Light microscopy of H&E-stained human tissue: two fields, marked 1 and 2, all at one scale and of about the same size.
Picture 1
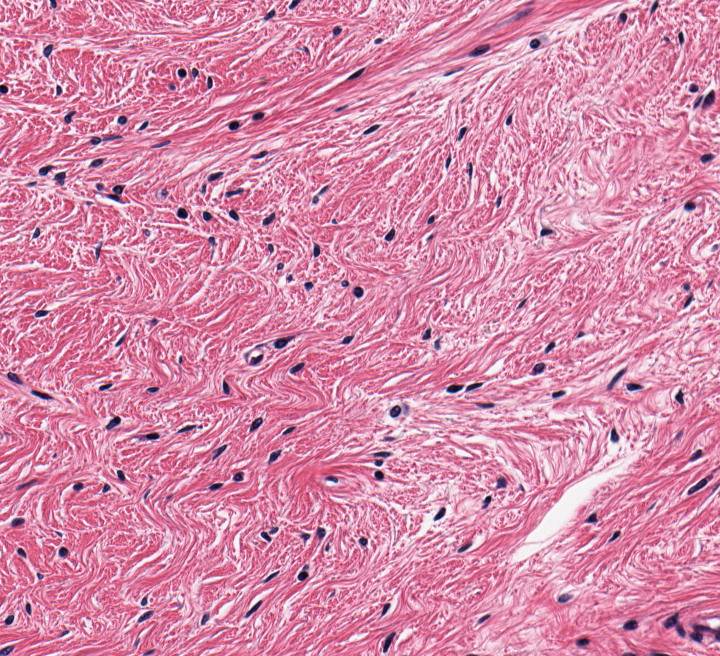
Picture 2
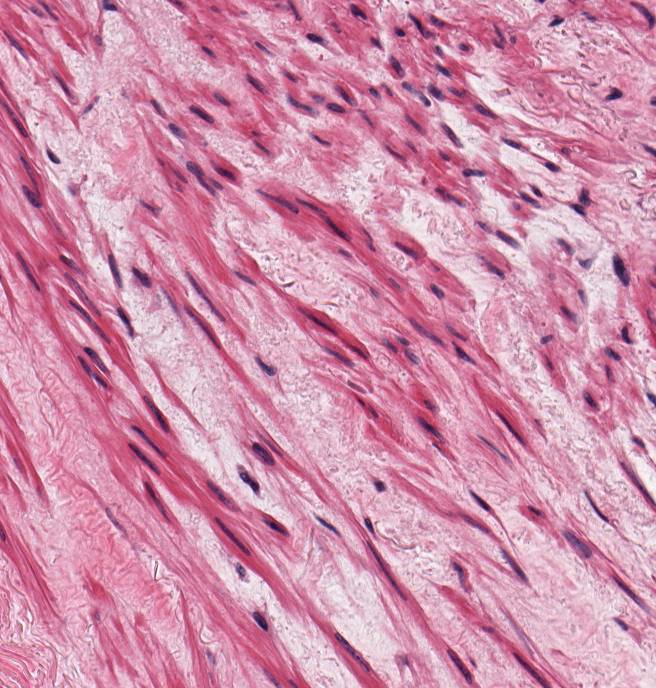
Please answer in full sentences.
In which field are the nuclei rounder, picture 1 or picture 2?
The nuclei are rounder in picture 1.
